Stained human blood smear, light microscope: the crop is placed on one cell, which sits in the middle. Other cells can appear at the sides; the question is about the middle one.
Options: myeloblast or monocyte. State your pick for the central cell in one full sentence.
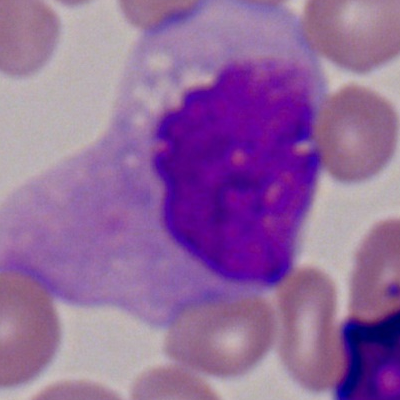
Within this crop, a monocyte occupies the central position.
